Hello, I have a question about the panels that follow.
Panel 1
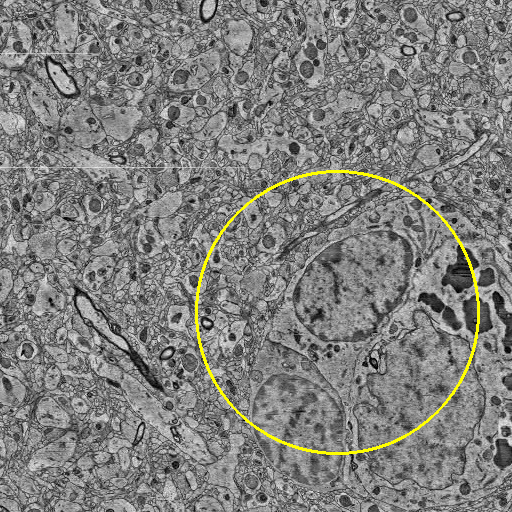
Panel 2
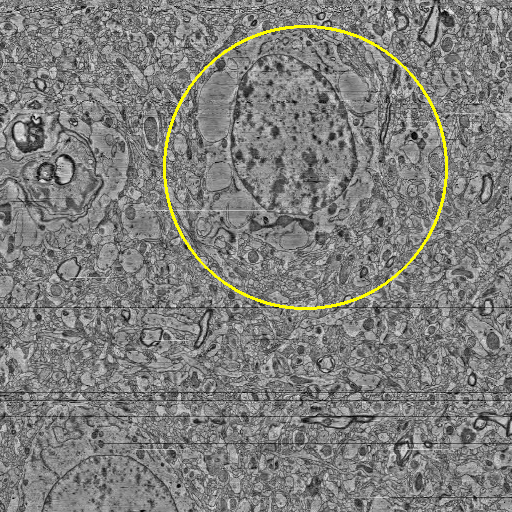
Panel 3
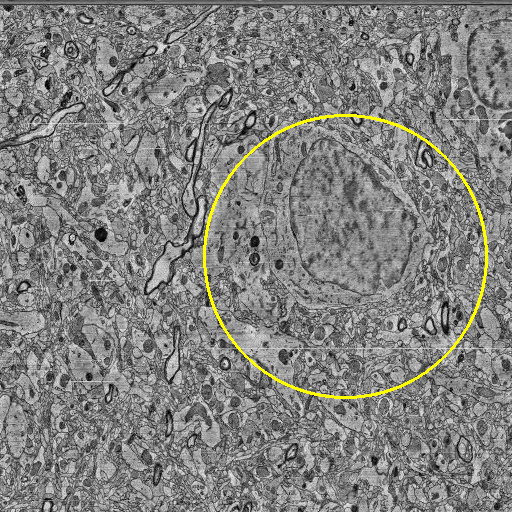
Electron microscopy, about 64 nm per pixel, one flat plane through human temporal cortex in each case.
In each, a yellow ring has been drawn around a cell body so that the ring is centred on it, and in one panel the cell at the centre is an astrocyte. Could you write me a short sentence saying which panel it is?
It is Panel 2.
